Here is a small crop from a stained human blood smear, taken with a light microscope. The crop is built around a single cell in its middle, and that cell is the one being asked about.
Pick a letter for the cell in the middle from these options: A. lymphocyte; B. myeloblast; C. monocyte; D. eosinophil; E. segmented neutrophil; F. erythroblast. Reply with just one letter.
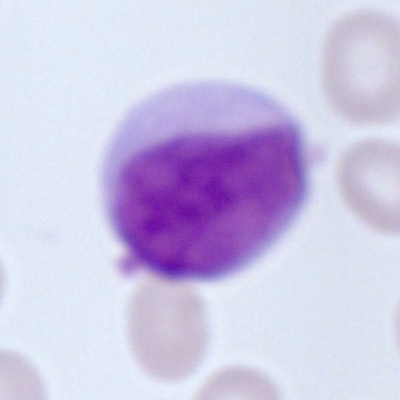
B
